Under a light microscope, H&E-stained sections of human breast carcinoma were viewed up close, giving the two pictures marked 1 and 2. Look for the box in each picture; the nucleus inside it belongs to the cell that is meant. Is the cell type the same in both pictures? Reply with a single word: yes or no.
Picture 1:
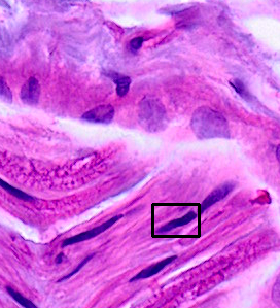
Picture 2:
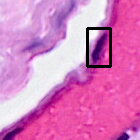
no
